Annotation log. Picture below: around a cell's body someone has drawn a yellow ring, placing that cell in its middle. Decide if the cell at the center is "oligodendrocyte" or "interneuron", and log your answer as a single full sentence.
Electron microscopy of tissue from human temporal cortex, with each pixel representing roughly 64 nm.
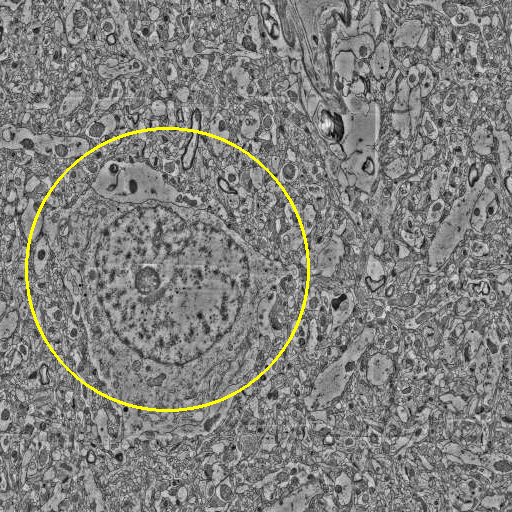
My entry records an interneuron as the cell sitting at the center of the yellow ring.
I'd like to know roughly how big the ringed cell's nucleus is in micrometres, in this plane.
In this plane the nucleus is about 10 micrometres across.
